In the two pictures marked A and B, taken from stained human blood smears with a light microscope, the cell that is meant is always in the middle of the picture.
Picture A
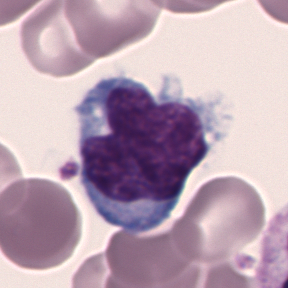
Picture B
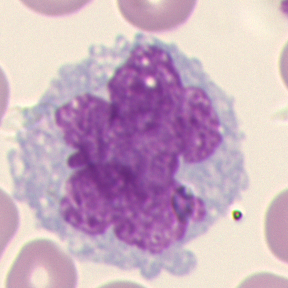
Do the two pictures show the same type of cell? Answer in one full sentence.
Yes, they are the same type: both are monocytes.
